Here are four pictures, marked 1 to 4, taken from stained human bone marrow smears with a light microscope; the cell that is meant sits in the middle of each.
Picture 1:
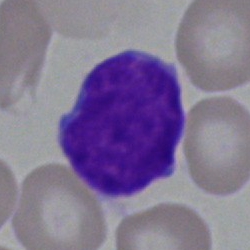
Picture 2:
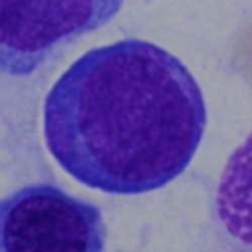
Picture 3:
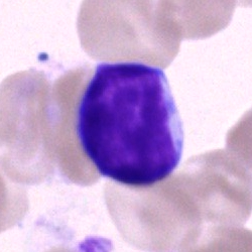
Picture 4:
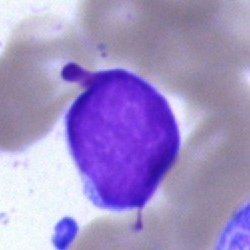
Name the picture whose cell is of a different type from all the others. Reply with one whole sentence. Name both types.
The different one is picture 3; it shows a lymphocyte, whereas all the others show blasts.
